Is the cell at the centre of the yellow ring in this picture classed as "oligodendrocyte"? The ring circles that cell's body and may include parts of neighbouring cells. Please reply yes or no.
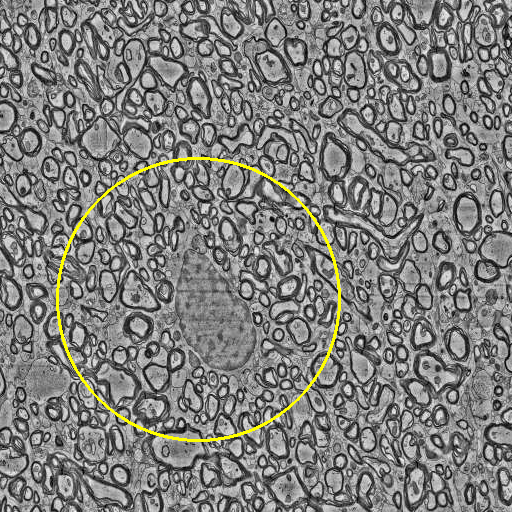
Yes, it is of that kind.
